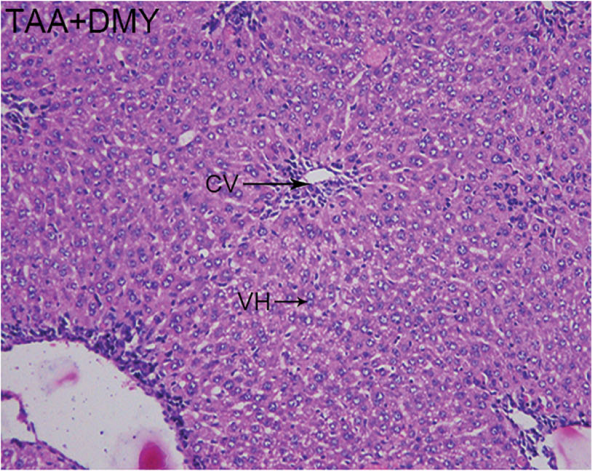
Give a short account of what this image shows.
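This liver section shows hepatocytes that are enlarged, with pale, finely vacuolated cytoplasm and swollen round nuclei, so that the plates look crowded. Sinusoids are narrow and hard to make out between the swollen cells. Around the small central vein and along the large vessel at the lower left lie collections of small cells with dark, round nuclei, an inflammatory infiltrate. Unlike normal liver, the regular radiating plate pattern is less distinct, though the tissue remains continuous.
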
